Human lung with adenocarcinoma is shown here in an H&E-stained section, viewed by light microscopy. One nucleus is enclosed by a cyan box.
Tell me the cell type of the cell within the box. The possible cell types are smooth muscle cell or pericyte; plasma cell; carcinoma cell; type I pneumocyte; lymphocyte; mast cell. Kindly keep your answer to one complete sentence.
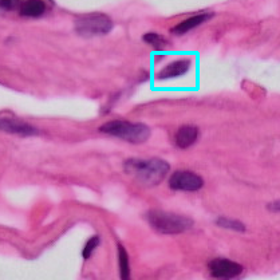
The cell type of the cell within the box is that of a type I pneumocyte.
